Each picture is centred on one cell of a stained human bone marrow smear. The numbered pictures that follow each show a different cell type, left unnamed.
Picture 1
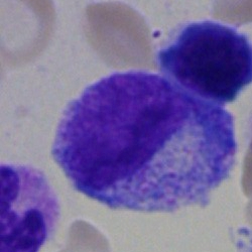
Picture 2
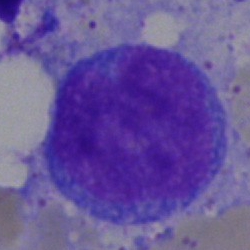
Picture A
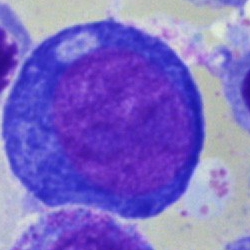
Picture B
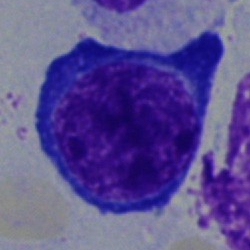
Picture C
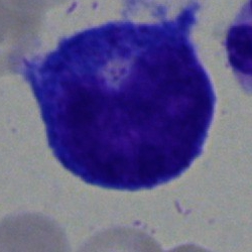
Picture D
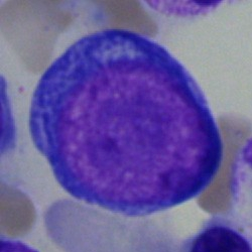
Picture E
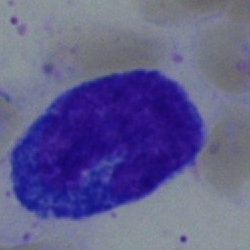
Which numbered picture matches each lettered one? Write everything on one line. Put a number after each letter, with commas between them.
A 2, B 2, C 1, D 2, E 1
